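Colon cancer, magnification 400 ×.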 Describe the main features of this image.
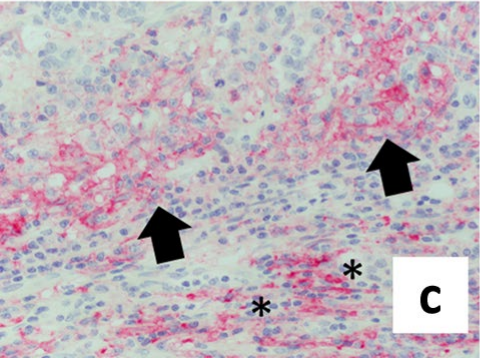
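The tumor cells have pale cytoplasm and blue nuclei, and red stain outlines them in a net-like pattern. Below them, among smaller cells in the stroma, lies patchy, granular red stain.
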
